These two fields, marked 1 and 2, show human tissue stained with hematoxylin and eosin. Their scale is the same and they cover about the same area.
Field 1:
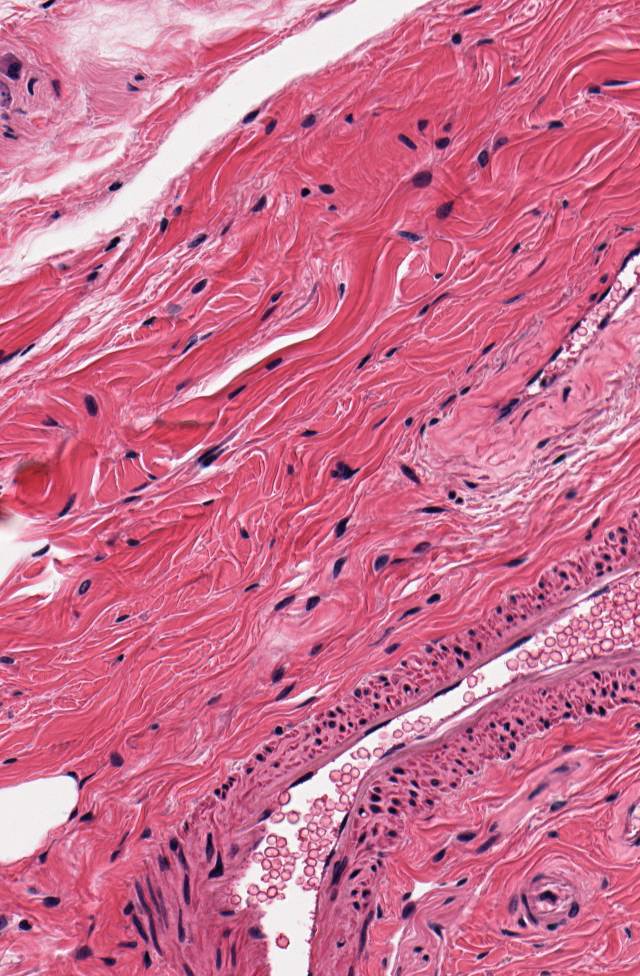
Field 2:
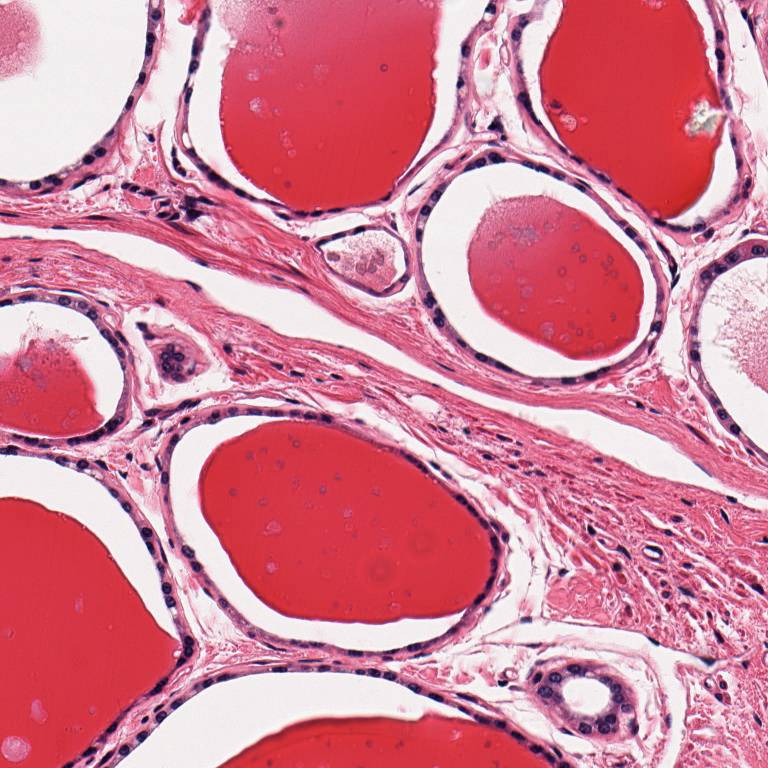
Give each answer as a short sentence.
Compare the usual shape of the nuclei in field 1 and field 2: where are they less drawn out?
It is field 1 whose nuclei are the rounder.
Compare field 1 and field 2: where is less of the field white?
Less of field 1 is empty and white.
